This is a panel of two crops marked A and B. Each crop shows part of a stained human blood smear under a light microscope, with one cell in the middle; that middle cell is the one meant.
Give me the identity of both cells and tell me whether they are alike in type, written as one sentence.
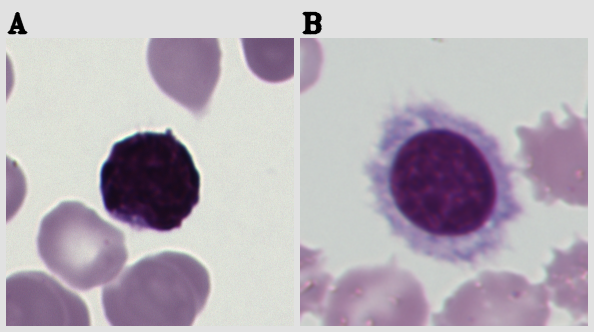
No, a blast is centred in crop A, and a hairy cell is centred in crop B.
